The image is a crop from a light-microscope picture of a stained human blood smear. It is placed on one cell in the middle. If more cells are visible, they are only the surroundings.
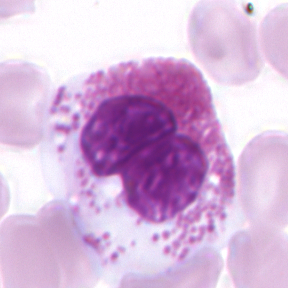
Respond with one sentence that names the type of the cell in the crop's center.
This crop has an eosinophil at its centre.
